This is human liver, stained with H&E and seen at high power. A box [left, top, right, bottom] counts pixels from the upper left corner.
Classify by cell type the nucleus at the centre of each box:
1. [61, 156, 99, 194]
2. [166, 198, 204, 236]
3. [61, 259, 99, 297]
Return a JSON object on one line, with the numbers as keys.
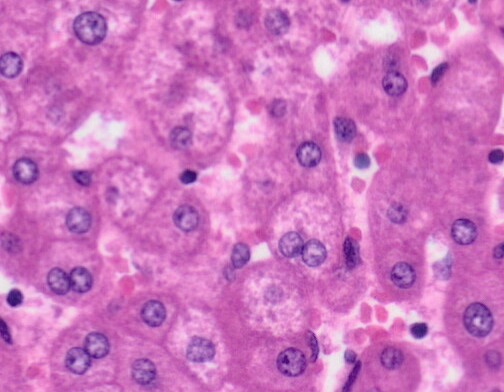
{"1": "fibroblast or stellate cell", "2": "hepatocyte", "3": "hepatocyte"}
